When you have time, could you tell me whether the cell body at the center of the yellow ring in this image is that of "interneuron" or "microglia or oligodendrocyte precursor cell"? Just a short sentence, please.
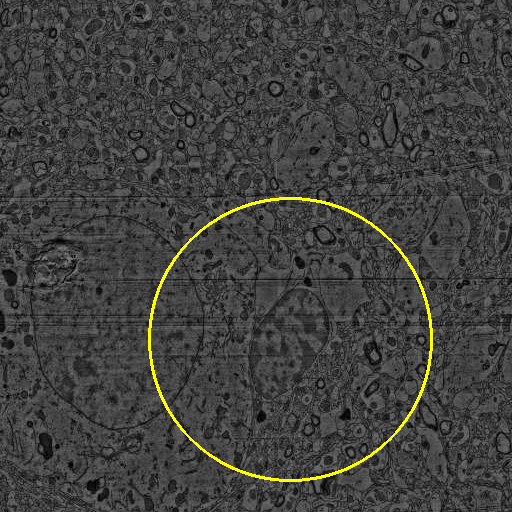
The cell body at the center of the ring is that of a microglial cell or oligodendrocyte precursor cell.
